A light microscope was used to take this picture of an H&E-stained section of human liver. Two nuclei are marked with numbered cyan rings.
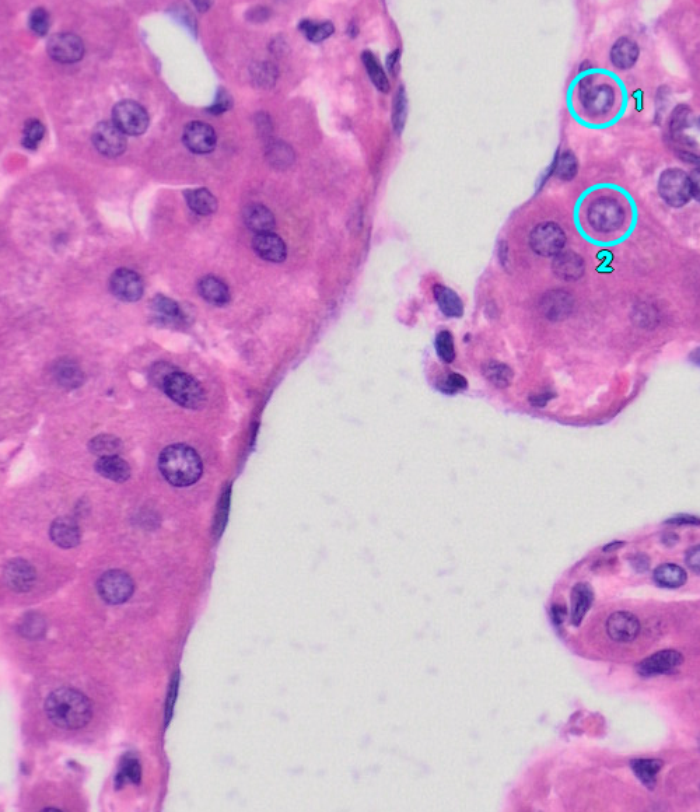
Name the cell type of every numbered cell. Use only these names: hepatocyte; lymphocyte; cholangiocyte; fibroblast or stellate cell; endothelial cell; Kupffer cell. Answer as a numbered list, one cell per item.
1. cholangiocyte
2. hepatocyte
